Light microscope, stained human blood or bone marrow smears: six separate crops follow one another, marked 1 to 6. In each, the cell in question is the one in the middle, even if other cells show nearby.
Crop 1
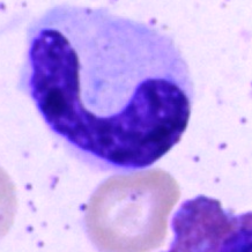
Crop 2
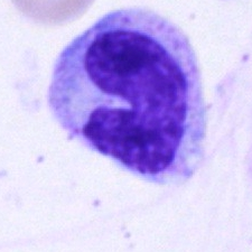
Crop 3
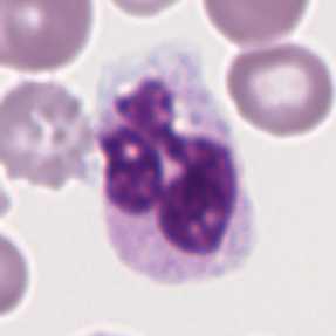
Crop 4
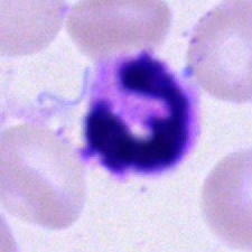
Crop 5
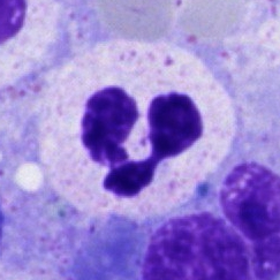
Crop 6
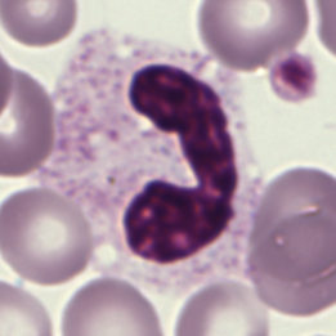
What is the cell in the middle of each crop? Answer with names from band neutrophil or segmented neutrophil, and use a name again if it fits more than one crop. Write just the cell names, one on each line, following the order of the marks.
band neutrophil
band neutrophil
segmented neutrophil
segmented neutrophil
segmented neutrophil
segmented neutrophil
